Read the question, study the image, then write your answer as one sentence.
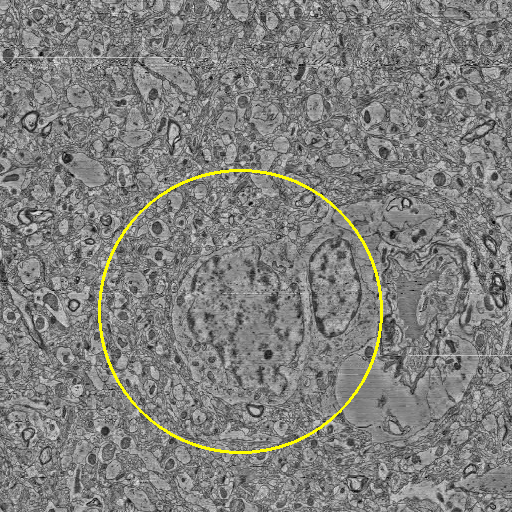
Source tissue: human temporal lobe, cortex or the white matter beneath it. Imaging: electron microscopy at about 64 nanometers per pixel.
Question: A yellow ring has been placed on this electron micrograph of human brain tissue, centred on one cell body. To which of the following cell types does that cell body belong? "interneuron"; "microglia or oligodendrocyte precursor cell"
That cell body belongs to an interneuron.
